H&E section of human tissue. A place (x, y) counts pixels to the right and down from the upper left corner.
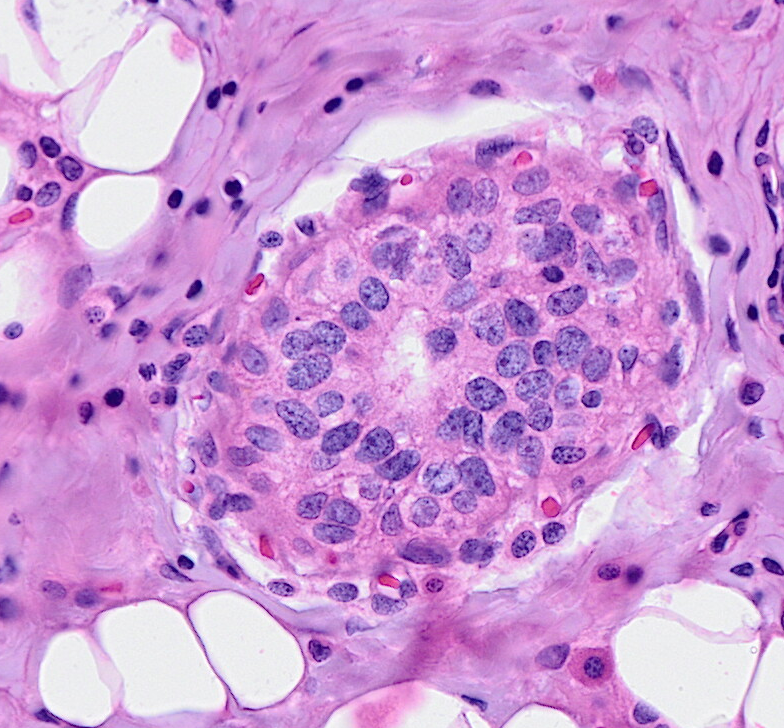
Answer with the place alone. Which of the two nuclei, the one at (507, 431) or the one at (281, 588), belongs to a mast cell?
(281, 588)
